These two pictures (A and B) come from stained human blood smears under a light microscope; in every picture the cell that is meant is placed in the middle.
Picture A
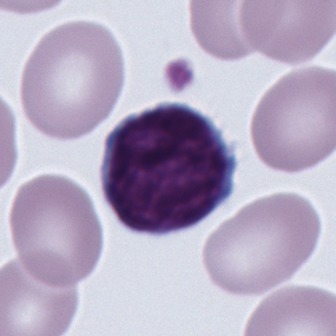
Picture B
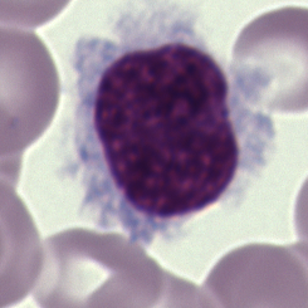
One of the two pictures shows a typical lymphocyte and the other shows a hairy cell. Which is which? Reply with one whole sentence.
In picture A the cell is a typical lymphocyte; in picture B, a hairy cell.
